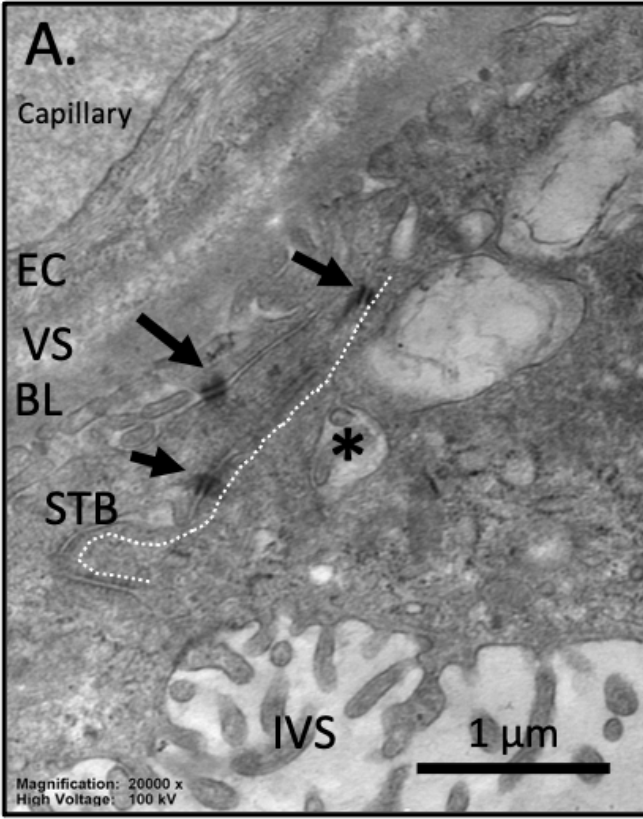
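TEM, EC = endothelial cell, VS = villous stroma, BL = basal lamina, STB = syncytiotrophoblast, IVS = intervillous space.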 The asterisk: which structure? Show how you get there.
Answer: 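The asterisk sits in a small rounded membrane-bound space. The space is paler than the surrounding cytoplasm. The answer: dilations.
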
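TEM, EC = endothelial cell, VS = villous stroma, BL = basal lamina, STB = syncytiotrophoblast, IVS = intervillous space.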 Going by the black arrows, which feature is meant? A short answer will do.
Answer: desmosomes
